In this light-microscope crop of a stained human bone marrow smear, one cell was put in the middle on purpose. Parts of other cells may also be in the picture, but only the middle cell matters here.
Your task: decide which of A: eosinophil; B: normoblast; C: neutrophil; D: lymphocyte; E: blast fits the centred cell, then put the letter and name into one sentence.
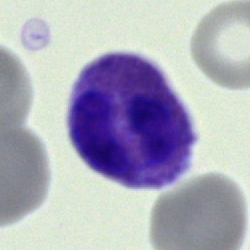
Option A correctly names the cell in the middle as an eosinophil.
